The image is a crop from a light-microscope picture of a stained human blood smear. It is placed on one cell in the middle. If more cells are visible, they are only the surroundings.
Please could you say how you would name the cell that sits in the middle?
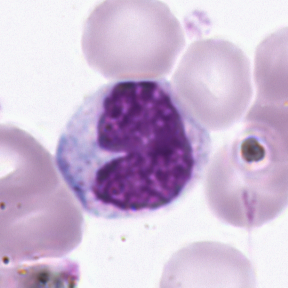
band neutrophil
